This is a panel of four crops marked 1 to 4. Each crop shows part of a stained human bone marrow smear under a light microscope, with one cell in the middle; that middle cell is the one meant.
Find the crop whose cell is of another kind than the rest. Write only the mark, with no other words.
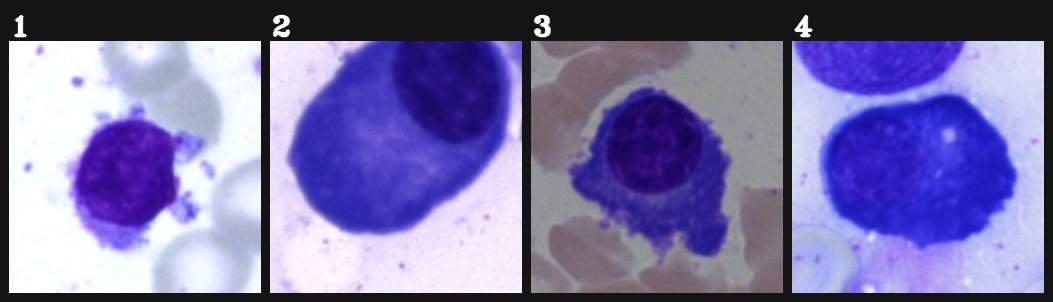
1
